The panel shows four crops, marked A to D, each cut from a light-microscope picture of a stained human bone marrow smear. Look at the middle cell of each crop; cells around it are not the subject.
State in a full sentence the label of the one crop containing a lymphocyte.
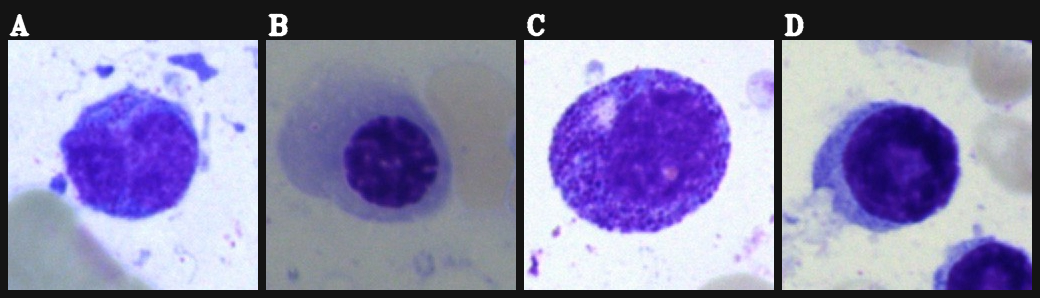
Among the crops provided, a lymphocyte occupies the center of crop D.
